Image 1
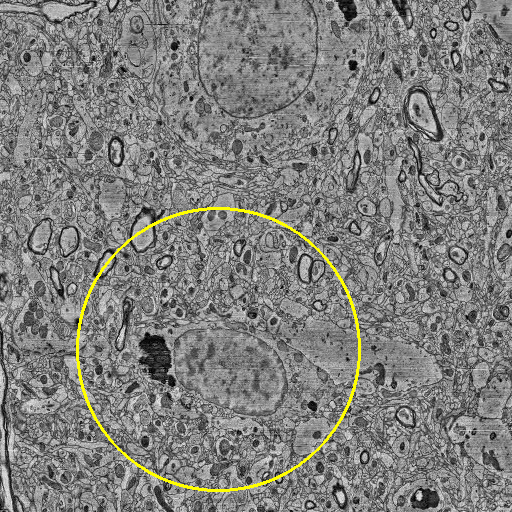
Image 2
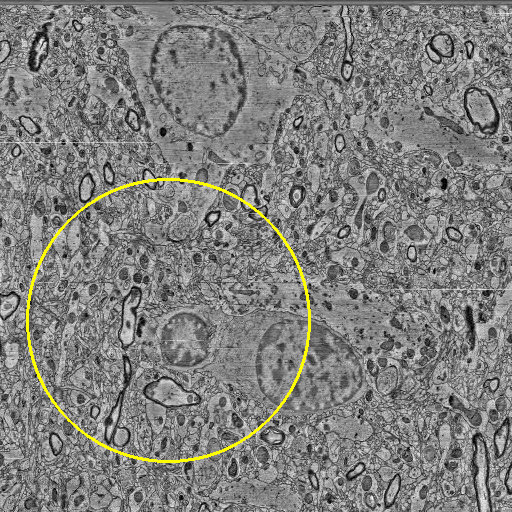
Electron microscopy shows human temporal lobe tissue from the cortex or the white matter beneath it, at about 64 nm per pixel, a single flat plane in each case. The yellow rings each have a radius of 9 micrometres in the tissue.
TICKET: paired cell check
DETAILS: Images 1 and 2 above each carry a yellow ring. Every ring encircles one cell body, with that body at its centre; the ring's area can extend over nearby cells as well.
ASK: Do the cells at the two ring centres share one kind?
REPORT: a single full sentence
Yes, the ring-centre cells of Images 1 and 2 belong to a single kind.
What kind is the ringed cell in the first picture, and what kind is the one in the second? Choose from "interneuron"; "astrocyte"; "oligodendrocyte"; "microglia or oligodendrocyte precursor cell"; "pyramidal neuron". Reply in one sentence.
Each one of the two ringed cells is an oligodendrocyte.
